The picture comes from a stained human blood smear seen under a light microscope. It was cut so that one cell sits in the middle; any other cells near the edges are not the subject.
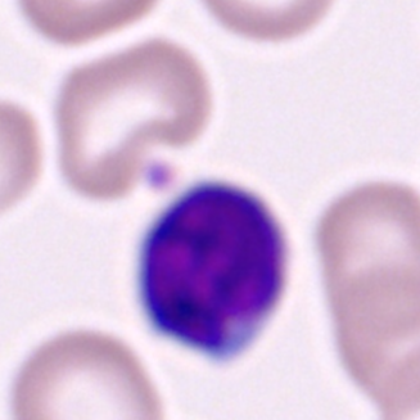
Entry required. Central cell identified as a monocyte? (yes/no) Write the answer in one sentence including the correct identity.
No, the central cell isn't a monocyte, but a lymphocyte.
